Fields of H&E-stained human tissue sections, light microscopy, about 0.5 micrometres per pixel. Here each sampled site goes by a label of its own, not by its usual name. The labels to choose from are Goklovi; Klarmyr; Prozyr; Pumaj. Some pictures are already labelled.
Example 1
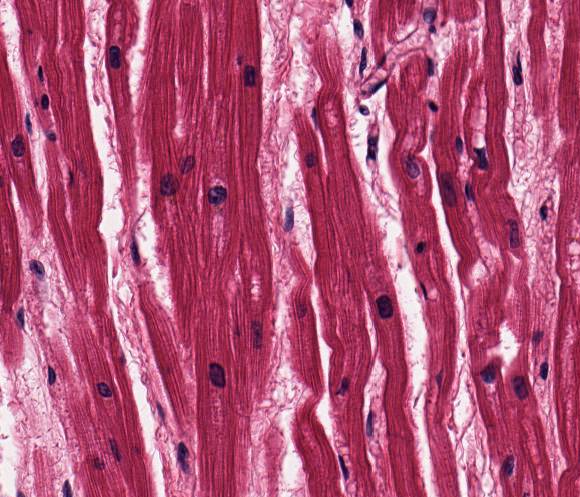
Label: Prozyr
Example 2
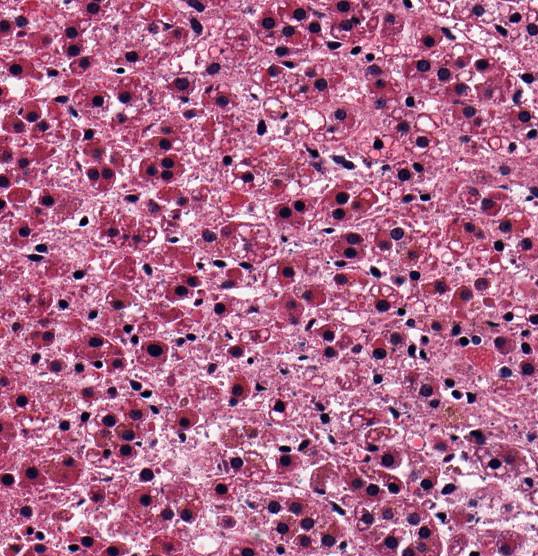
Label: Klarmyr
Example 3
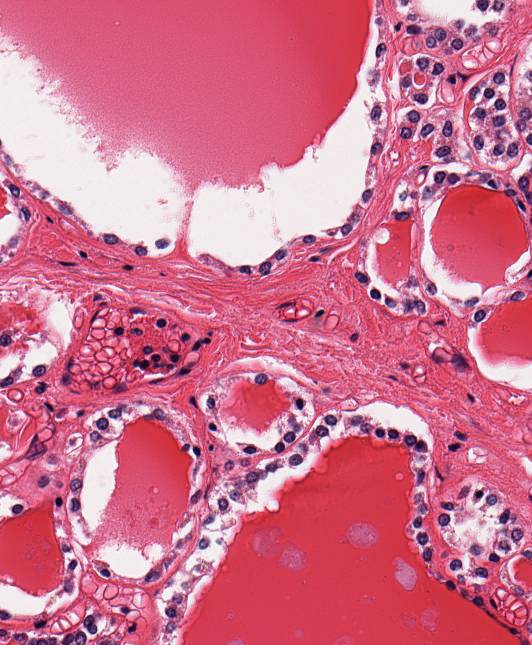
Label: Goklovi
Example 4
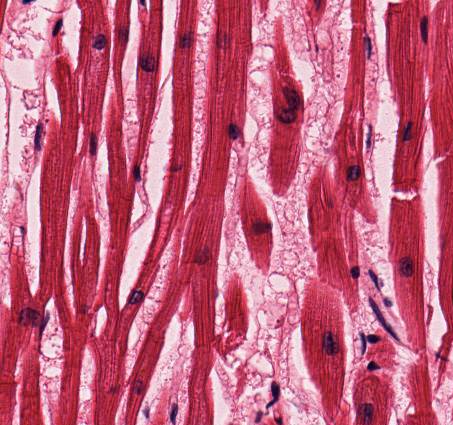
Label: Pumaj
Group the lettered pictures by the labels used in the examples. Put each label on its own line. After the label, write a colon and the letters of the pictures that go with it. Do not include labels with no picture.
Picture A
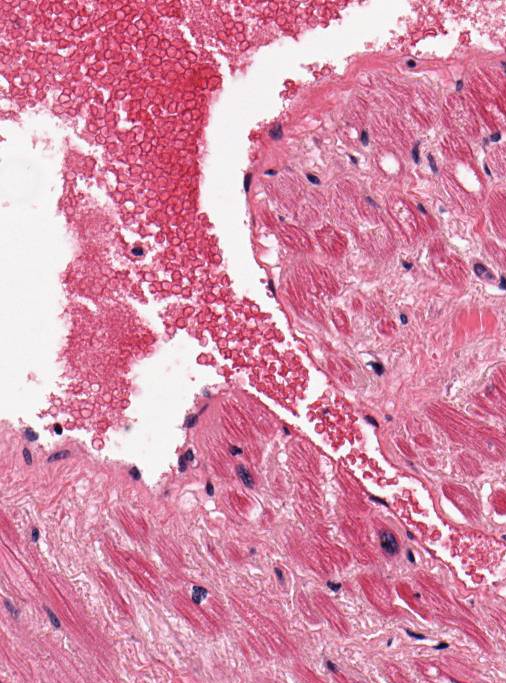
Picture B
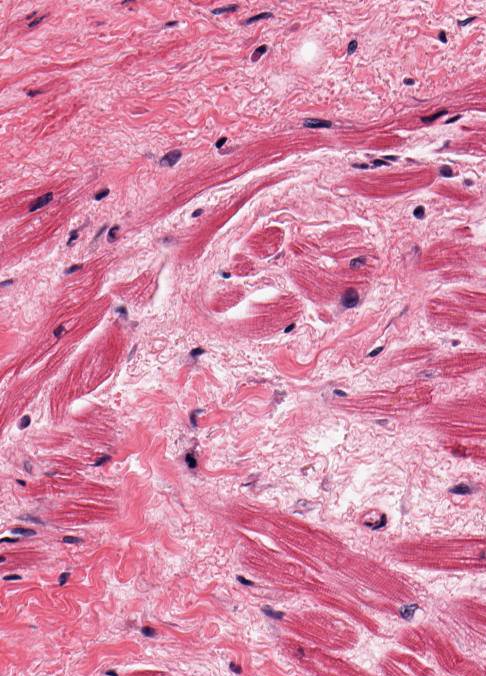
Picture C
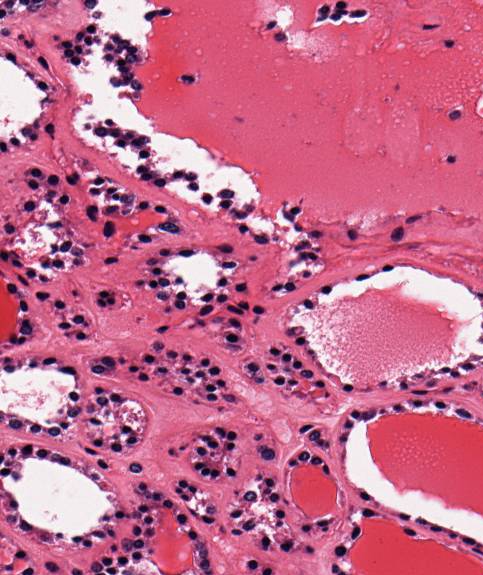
Goklovi: C
Prozyr: A, B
